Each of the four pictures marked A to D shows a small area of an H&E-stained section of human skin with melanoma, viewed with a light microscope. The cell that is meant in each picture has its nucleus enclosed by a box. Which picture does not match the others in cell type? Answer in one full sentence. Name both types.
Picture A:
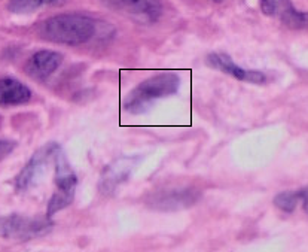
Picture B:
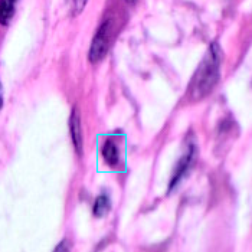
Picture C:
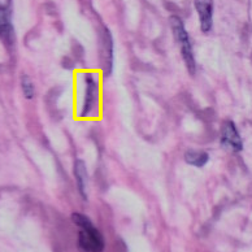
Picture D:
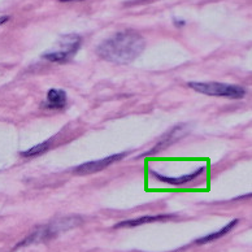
All pictures except B show “fibroblasts or myofibroblasts”; picture B shows a plasma cell.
